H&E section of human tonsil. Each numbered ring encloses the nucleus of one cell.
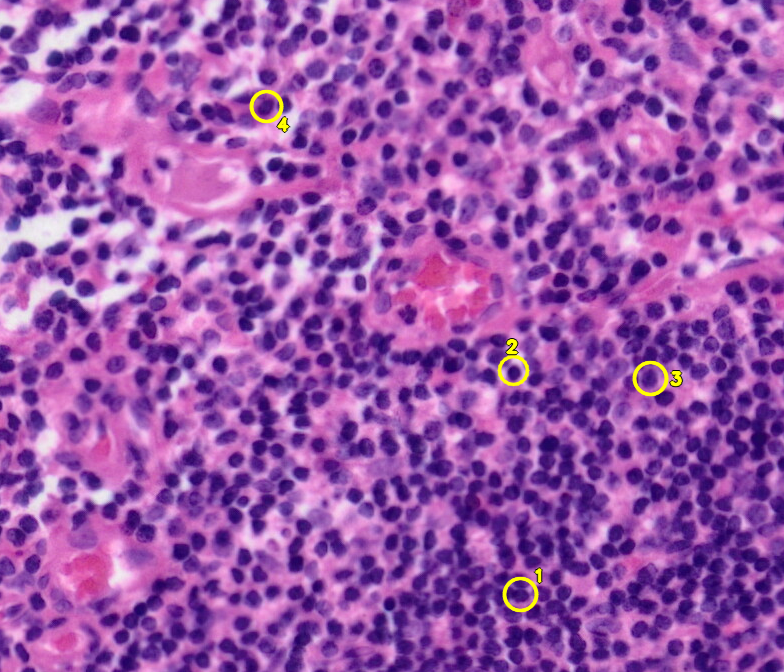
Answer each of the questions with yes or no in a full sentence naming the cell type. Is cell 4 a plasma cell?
Yes, the cell pointed out as number 4 is a plasma cell.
